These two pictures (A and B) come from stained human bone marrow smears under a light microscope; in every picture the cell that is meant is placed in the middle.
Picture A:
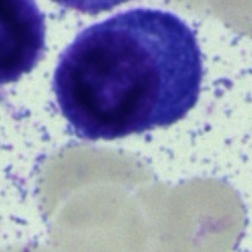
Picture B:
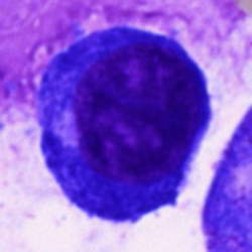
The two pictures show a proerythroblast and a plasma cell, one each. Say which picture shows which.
A: plasma cell
B: proerythroblast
